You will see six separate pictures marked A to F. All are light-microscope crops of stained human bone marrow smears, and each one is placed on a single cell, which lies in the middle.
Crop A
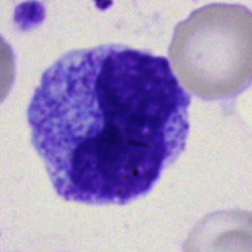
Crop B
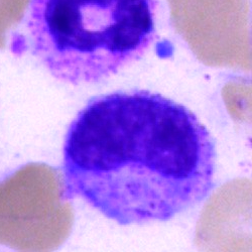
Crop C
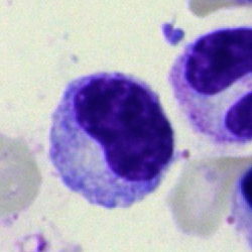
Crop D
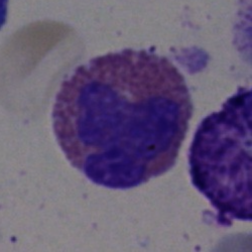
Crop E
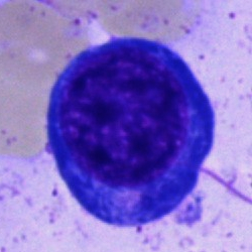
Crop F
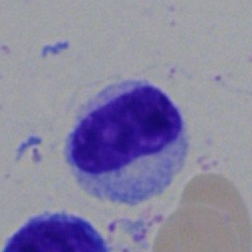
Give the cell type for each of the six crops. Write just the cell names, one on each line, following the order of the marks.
metamyelocyte
metamyelocyte
metamyelocyte
eosinophil
proerythroblast
metamyelocyte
